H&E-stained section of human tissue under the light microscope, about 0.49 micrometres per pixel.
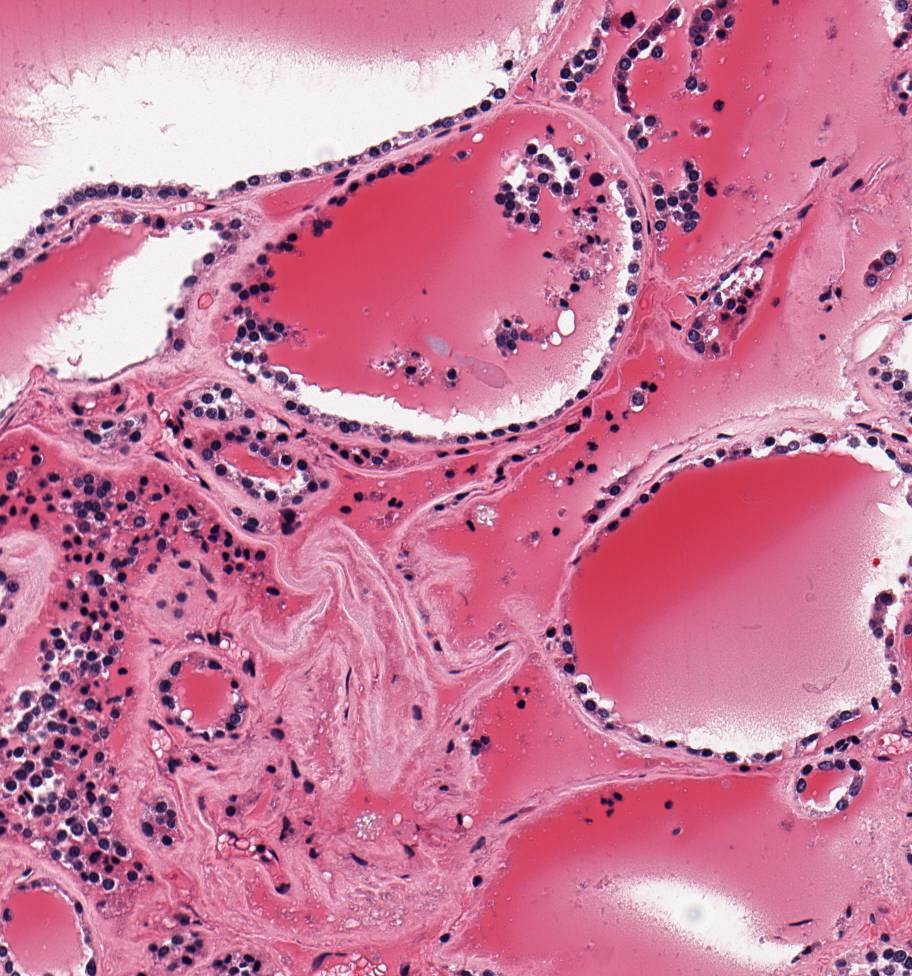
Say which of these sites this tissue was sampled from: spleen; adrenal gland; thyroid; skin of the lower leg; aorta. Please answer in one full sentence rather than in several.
This is tissue that was sampled from the thyroid.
